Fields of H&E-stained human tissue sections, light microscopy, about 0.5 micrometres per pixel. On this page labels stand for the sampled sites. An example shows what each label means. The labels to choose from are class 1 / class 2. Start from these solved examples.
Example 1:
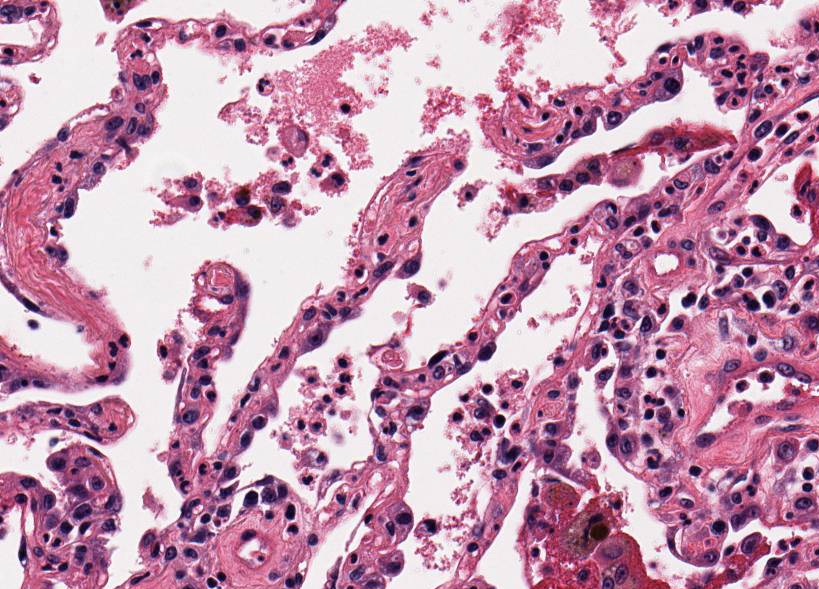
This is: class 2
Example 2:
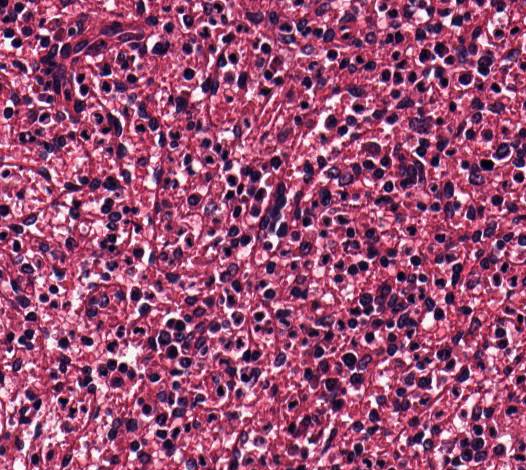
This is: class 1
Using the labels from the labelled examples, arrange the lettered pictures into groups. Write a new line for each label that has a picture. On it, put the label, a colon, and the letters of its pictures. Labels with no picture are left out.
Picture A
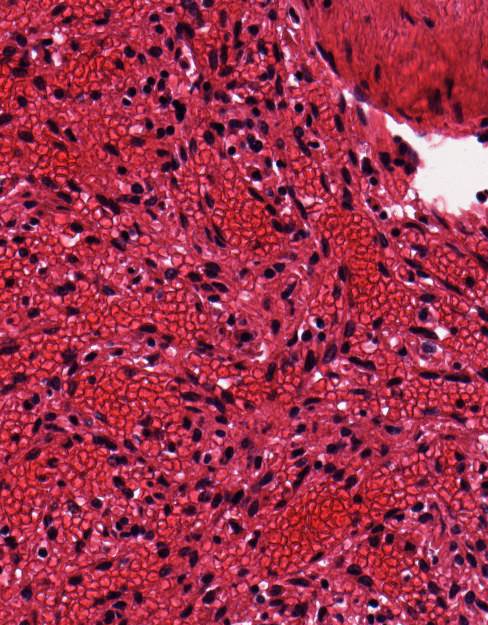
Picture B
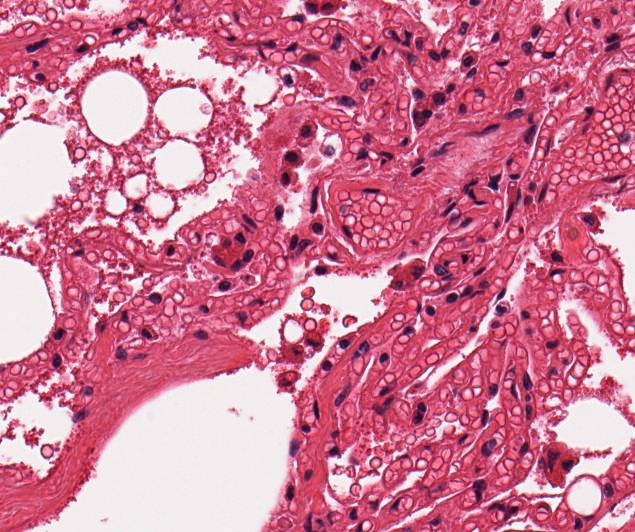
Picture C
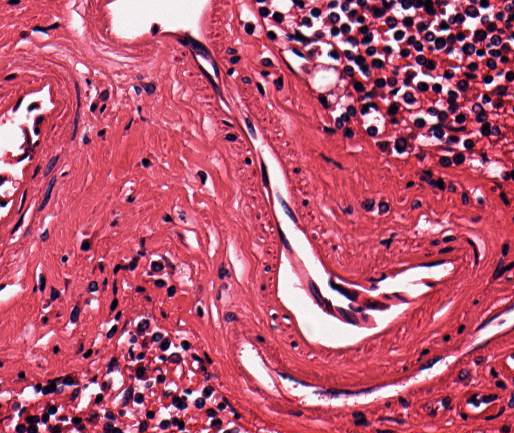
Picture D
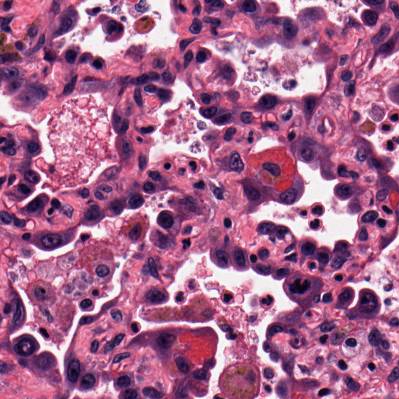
class 1: A, C
class 2: B, D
